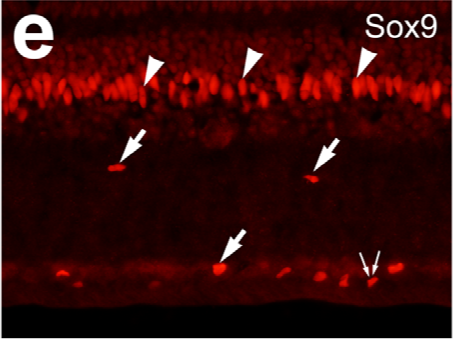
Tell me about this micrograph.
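This vertical section of the retina shows a dense row of elongated red nuclei of Müller glia lying across the middle of the inner nuclear layer. These nuclei are spindle-shaped and oriented perpendicular to the layers, packed closely side by side. Below, the inner plexiform layer is largely free of nuclei except for a few small scattered red nuclei, and further small red nuclei lie in a line within the ganglion cell layer at the inner edge of the retina.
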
